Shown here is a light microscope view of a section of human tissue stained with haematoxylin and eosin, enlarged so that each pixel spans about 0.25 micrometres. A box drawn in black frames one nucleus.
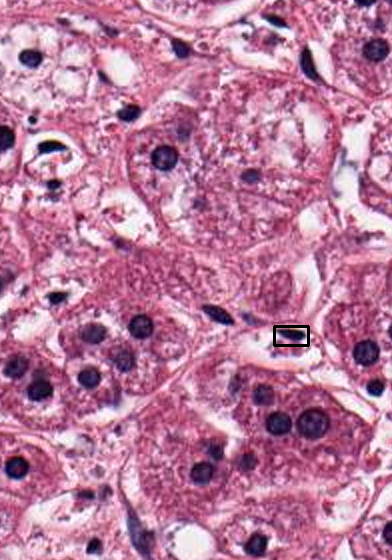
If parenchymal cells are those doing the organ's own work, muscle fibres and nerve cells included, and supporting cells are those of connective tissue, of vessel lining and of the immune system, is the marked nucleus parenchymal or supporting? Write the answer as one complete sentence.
In the section shown, the marked nucleus belongs to a supporting cell.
